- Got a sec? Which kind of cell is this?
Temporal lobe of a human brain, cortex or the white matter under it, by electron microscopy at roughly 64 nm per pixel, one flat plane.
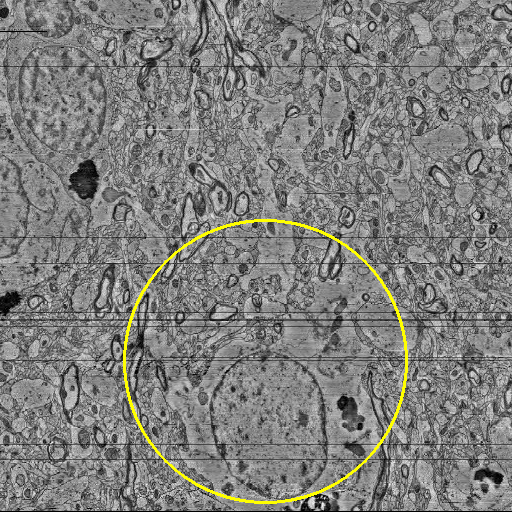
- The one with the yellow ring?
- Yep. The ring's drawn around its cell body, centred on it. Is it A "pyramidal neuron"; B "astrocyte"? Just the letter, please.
B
